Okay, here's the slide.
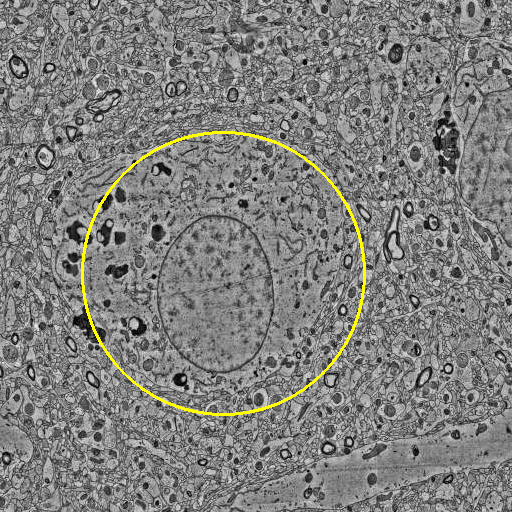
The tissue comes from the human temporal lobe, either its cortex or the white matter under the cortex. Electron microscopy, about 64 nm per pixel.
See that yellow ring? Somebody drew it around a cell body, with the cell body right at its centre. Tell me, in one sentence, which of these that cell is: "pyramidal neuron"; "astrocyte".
The cell in the middle of the ring is a pyramidal neuron.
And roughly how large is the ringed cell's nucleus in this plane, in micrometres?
In this plane, about 10 micrometres in length and 8 in width.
